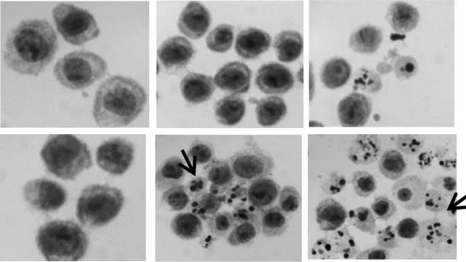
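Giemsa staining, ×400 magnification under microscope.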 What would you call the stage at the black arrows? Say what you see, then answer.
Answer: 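Apoptotic cells. The arrows point at cells whose nuclear material is broken into several small, dark, round fragments. These cells look smaller and paler than their neighbours with intact oval nuclei.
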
